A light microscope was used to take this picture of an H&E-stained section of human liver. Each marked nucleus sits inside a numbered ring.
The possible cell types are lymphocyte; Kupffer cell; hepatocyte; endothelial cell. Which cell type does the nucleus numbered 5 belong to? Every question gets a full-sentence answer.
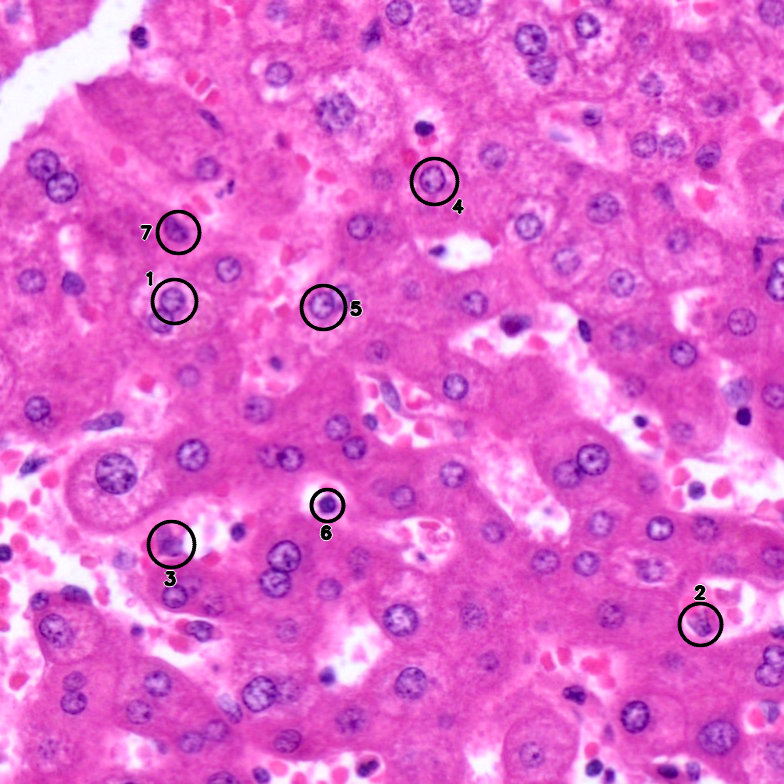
Regarding cell 5, this one is a hepatocyte.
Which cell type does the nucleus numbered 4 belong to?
In this section, the cell tagged 4 is a hepatocyte.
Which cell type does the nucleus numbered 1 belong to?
The cell referred to as 1 is a hepatocyte.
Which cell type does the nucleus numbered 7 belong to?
The cell with the number 7 is a Kupffer cell.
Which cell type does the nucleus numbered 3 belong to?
Cell 3 in the field of view is an endothelial cell.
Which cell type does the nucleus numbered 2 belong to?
The cell numbered 2 represents a Kupffer cell.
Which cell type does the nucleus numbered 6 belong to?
The cell numbered 6 has been identified as a lymphocyte.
